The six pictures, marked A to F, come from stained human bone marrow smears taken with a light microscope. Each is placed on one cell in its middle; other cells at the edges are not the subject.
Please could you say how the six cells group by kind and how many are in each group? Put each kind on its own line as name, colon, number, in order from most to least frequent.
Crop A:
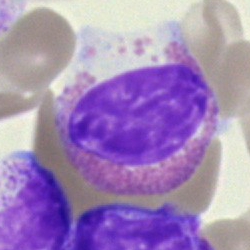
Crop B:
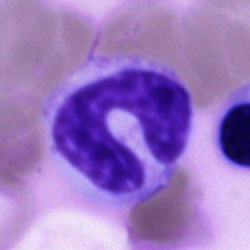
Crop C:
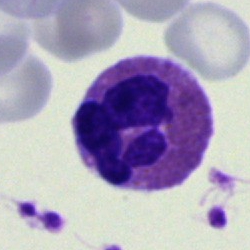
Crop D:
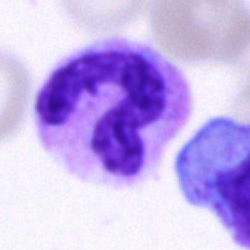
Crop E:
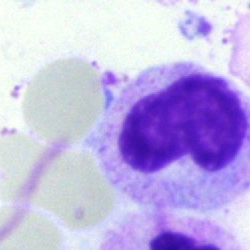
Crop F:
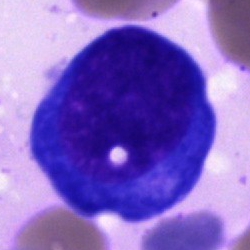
band neutrophil: 3
eosinophil: 2
proerythroblast: 1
